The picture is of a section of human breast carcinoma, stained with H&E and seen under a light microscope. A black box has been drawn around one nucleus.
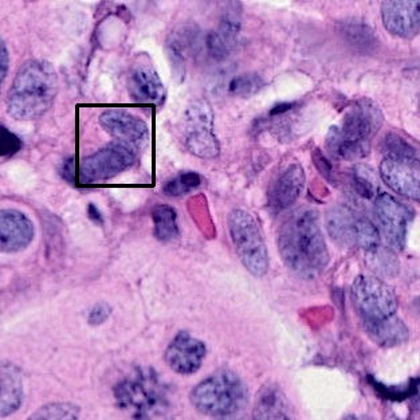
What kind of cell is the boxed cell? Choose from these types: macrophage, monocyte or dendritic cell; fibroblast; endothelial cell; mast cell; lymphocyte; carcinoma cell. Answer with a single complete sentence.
As classified here, the boxed cell is a carcinoma cell.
